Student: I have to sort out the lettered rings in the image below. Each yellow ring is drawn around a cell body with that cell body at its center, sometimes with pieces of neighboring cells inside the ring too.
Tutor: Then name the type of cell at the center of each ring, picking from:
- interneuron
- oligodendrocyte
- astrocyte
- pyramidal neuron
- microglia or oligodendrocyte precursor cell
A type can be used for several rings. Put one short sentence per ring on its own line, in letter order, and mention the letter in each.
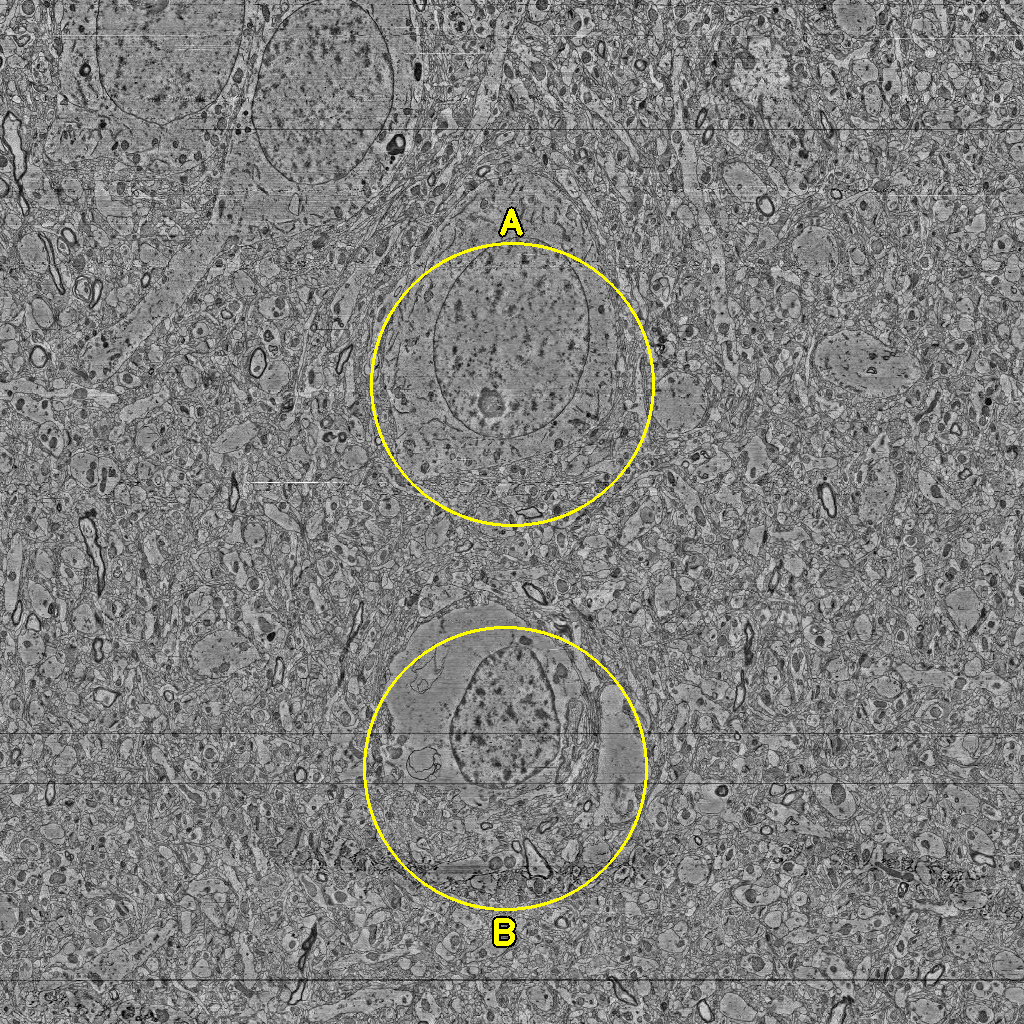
Inside ring A, at its center, is a pyramidal neuron.
Inside ring B, at its center, is an astrocyte.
